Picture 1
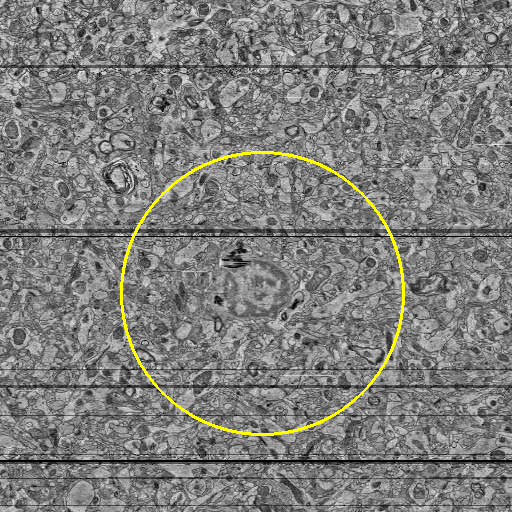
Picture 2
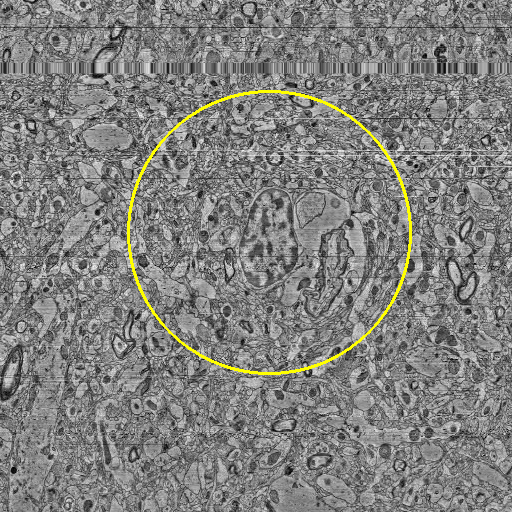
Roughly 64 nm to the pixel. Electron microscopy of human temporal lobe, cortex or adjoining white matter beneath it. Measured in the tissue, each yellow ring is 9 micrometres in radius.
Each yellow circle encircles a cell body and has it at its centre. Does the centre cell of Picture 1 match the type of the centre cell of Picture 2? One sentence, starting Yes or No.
No, the cell centred in Picture 1 and the one in Picture 2 have separate types.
